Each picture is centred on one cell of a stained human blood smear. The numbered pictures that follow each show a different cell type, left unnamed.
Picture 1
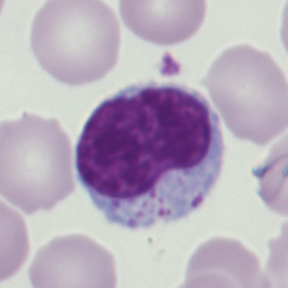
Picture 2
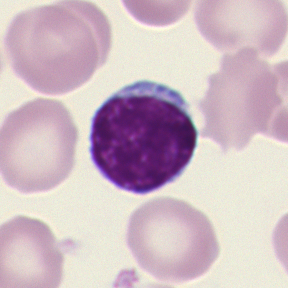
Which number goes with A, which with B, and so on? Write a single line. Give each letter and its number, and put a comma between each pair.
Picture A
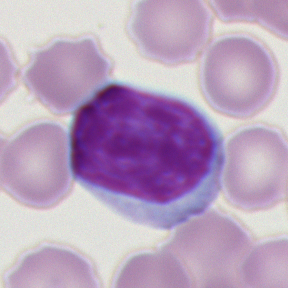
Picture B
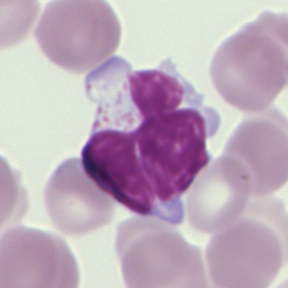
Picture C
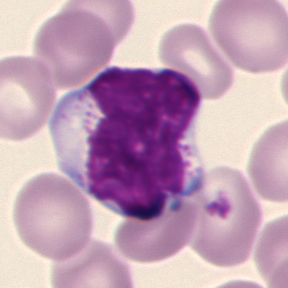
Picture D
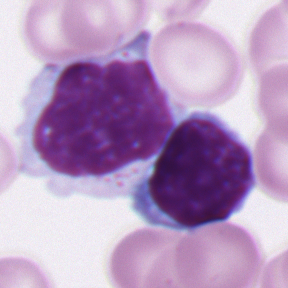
A 2, B 1, C 1, D 2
